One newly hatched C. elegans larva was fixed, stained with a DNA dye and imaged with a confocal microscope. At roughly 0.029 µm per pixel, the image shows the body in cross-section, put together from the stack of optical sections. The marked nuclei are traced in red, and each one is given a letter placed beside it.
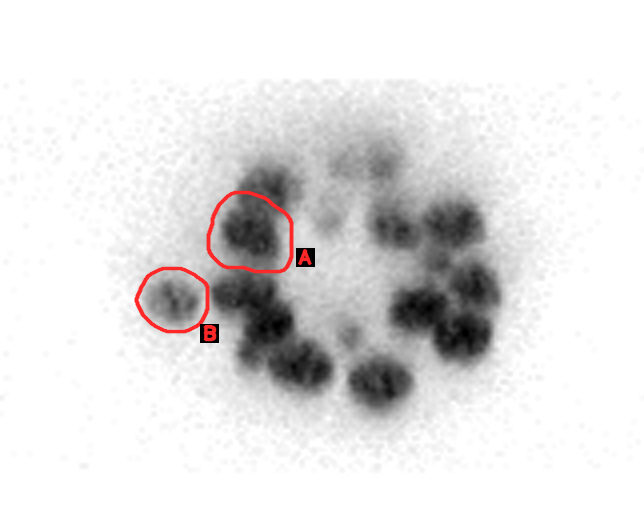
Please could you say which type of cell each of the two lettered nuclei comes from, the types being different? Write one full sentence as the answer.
A belongs to a neuron and B to a hypodermal cell (hyp).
